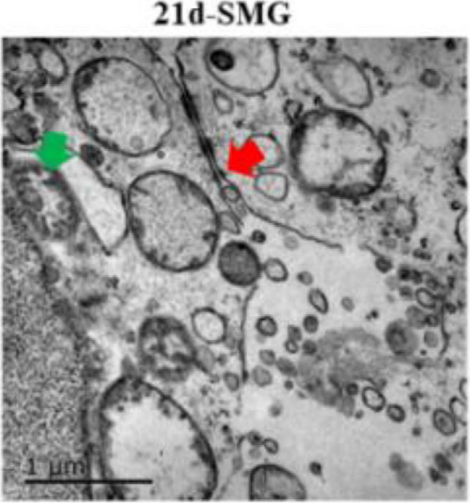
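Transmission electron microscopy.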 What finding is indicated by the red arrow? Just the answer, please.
Breakdown of intercellular junctional structures.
